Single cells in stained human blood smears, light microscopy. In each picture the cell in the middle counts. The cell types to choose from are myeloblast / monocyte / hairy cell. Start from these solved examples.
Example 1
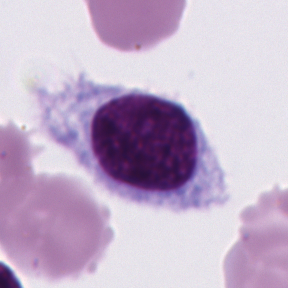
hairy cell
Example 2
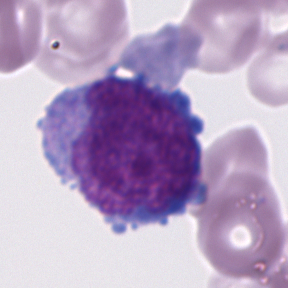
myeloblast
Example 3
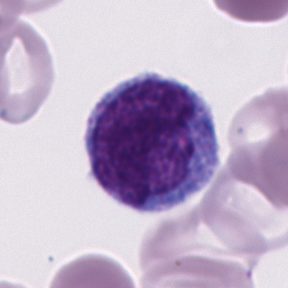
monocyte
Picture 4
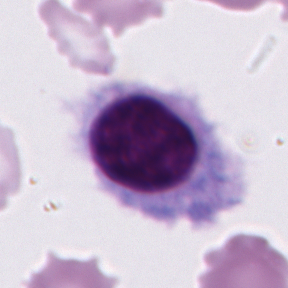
hairy cell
